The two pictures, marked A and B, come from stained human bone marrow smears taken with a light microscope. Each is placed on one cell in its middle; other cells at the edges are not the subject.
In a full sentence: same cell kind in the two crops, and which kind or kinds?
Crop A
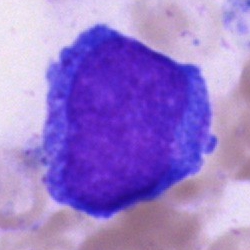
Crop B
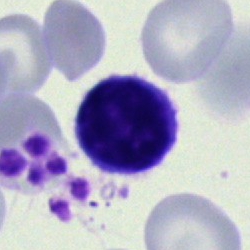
No, a blast is in crop A, while a lymphocyte is in crop B.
